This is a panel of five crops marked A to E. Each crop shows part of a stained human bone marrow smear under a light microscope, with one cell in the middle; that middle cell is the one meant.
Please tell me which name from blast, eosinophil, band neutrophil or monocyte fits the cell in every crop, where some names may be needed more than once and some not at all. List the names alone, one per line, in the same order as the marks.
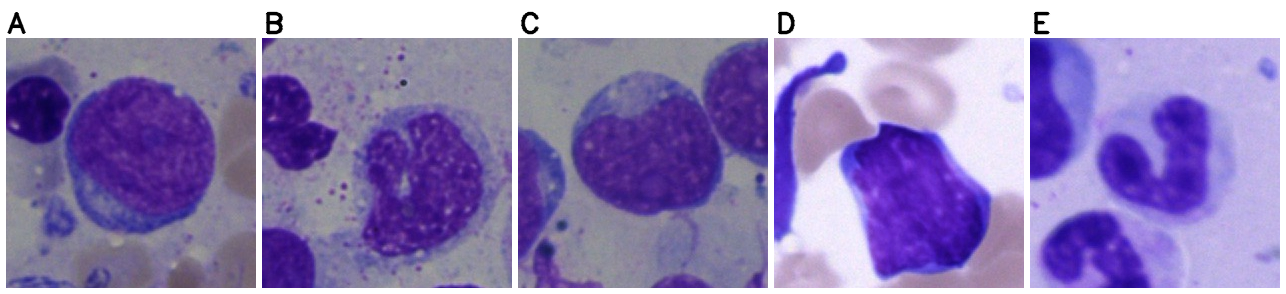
blast
monocyte
blast
blast
band neutrophil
